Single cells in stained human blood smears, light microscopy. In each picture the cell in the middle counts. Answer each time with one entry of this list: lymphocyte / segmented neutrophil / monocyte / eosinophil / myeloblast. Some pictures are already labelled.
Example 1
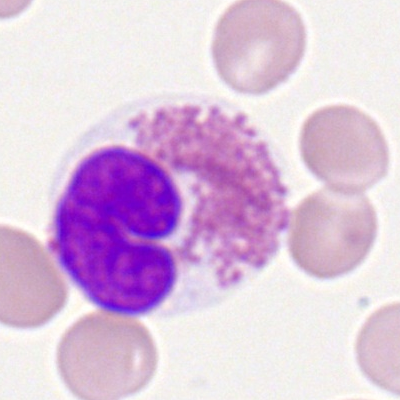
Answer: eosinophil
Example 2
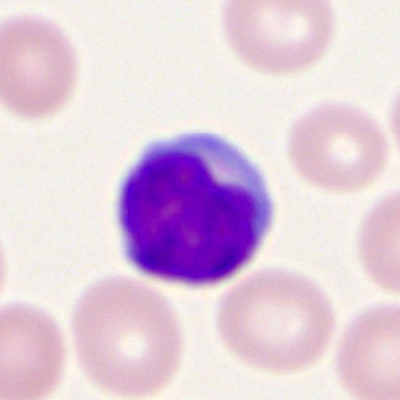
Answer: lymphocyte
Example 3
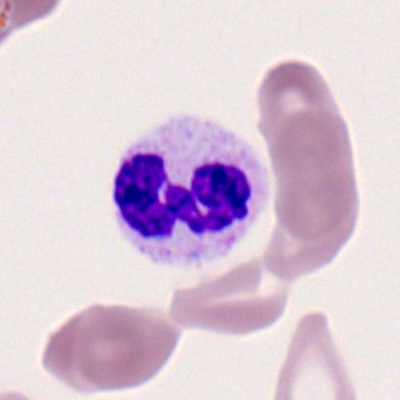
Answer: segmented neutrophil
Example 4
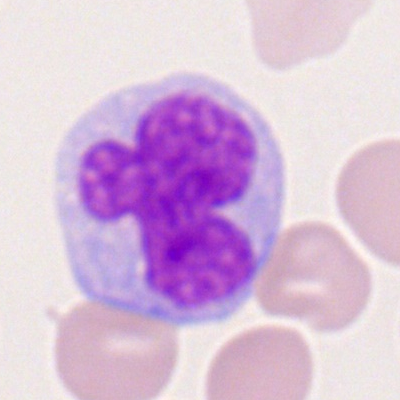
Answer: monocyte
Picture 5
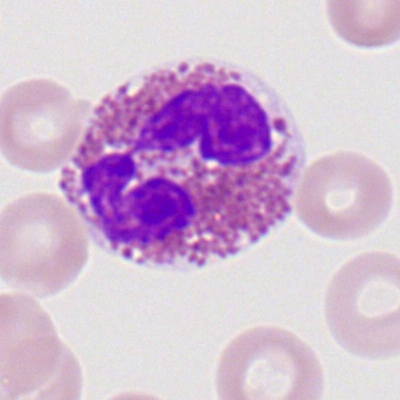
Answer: eosinophil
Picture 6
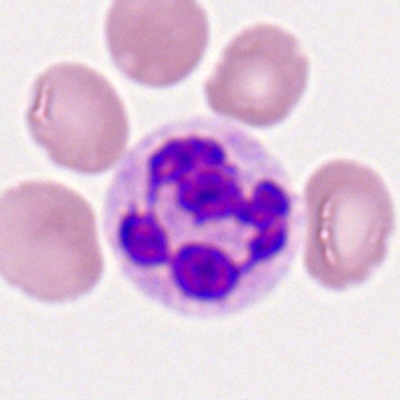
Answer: segmented neutrophil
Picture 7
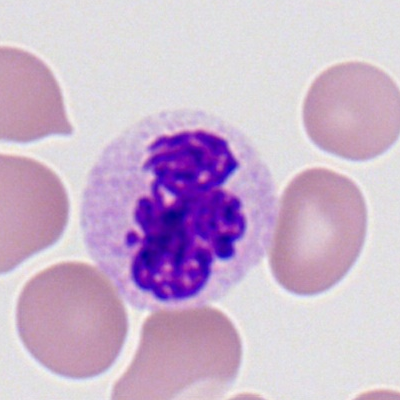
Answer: segmented neutrophil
